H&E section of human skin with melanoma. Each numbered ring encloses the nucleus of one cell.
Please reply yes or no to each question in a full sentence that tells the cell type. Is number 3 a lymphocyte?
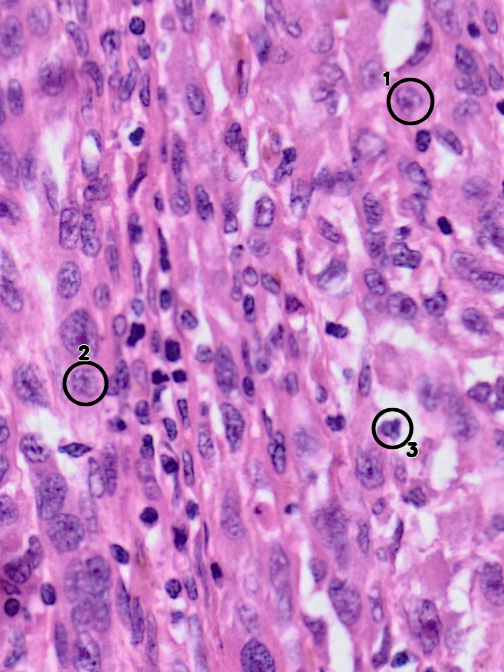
Yes, the cell bearing the number 3 is a lymphocyte.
